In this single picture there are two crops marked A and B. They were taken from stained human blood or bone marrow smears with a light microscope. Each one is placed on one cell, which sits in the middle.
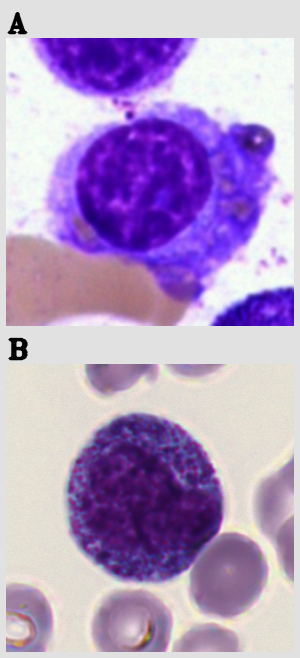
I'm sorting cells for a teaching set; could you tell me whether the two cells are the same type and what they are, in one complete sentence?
No, shown in crop A is a plasma cell, and shown in crop B is a promyelocyte.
